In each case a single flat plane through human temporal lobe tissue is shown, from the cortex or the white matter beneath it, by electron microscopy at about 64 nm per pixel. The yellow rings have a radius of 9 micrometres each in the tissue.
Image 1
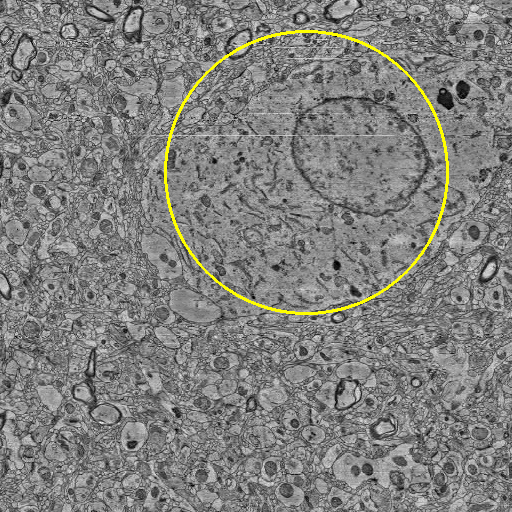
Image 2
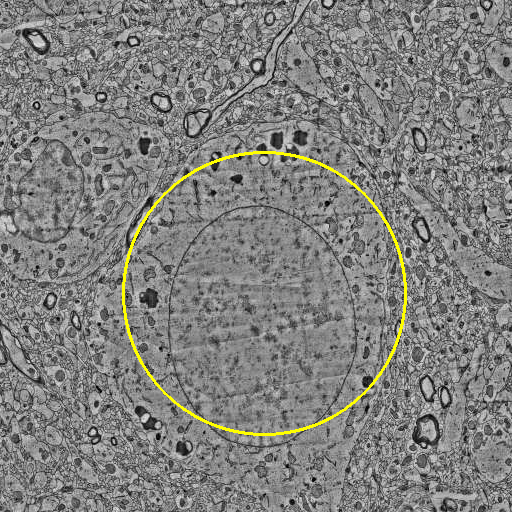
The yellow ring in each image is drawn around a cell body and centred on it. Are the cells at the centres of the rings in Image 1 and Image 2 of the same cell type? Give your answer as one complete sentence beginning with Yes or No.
Yes, both cells are of the same type.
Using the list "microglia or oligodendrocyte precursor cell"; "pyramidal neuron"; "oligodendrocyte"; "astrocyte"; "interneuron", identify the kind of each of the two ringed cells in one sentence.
Each one of the two ringed cells is a pyramidal neuron.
